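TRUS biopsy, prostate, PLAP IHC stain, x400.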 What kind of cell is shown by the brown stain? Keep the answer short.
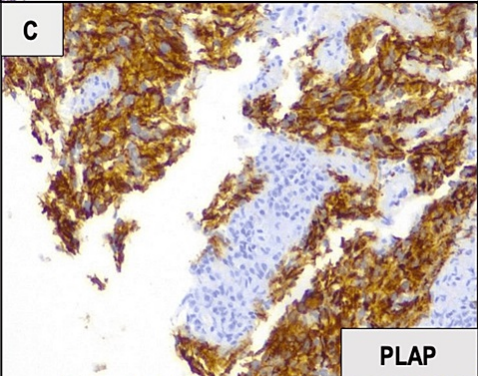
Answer: Tumor cells.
